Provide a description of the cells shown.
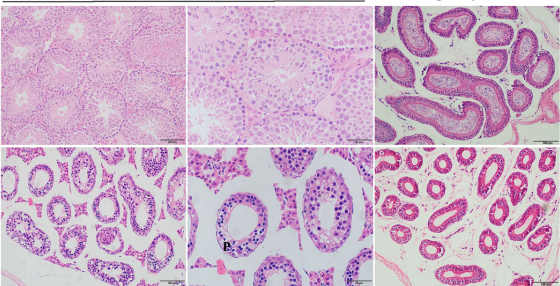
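In the upper row, the seminiferous tubules of the testis are large and closely packed, with thick, many-layered walls of germ cells around a central lumen. In the lower row, the tubules are much smaller and more widely spaced, with only a thin rim of cells and many nearly empty lumens. The right-hand images show coiled ducts lined by a pink epithelium, and the lower one has narrower ducts whose lumens hold no dense content.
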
